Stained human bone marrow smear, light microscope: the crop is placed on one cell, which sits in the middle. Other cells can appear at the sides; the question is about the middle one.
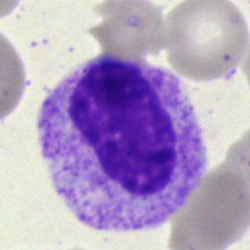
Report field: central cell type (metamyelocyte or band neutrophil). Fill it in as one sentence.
Whatever else lies nearby, the middle cell is a metamyelocyte.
